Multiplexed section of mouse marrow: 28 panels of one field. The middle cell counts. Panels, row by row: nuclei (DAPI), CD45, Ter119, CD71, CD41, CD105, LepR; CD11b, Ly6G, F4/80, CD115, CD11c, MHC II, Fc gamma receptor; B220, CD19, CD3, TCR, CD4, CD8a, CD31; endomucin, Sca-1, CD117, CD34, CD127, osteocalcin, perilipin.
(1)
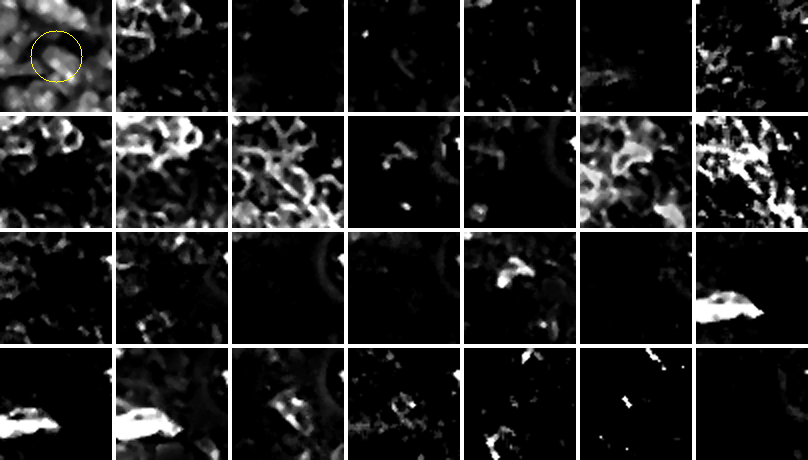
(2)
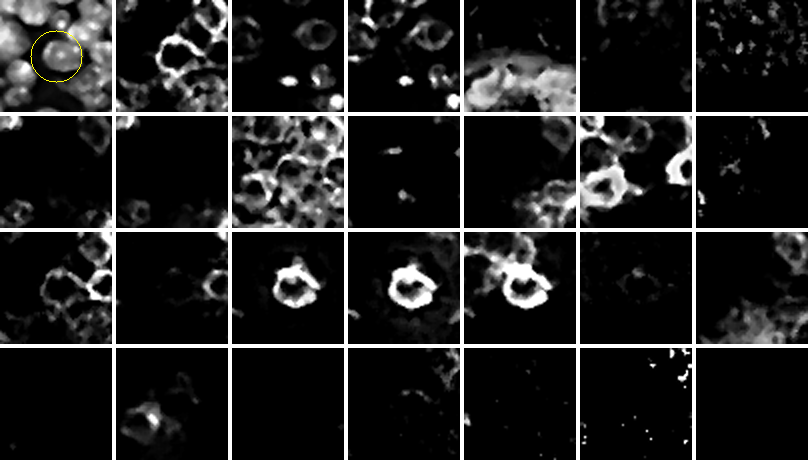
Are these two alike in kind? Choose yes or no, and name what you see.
No. First a KLS stem or progenitor cell, second a CD4 T cell.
